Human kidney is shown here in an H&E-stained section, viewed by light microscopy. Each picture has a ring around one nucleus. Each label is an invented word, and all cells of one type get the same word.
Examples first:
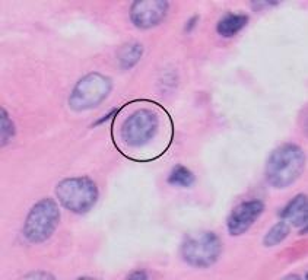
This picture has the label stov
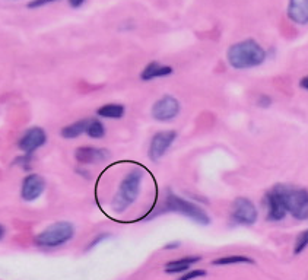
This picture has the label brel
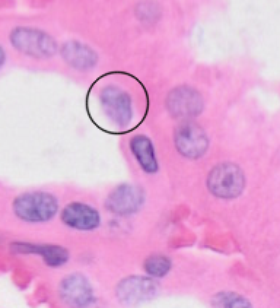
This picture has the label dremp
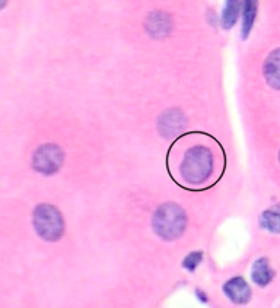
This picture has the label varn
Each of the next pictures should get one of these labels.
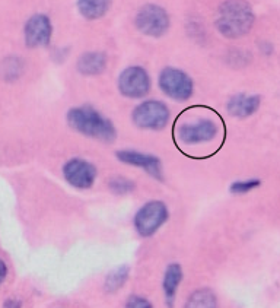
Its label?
stov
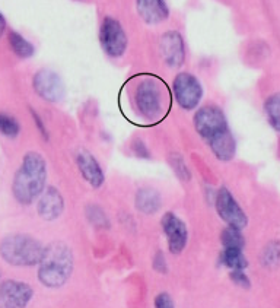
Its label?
stov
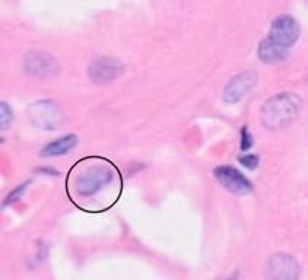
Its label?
stov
